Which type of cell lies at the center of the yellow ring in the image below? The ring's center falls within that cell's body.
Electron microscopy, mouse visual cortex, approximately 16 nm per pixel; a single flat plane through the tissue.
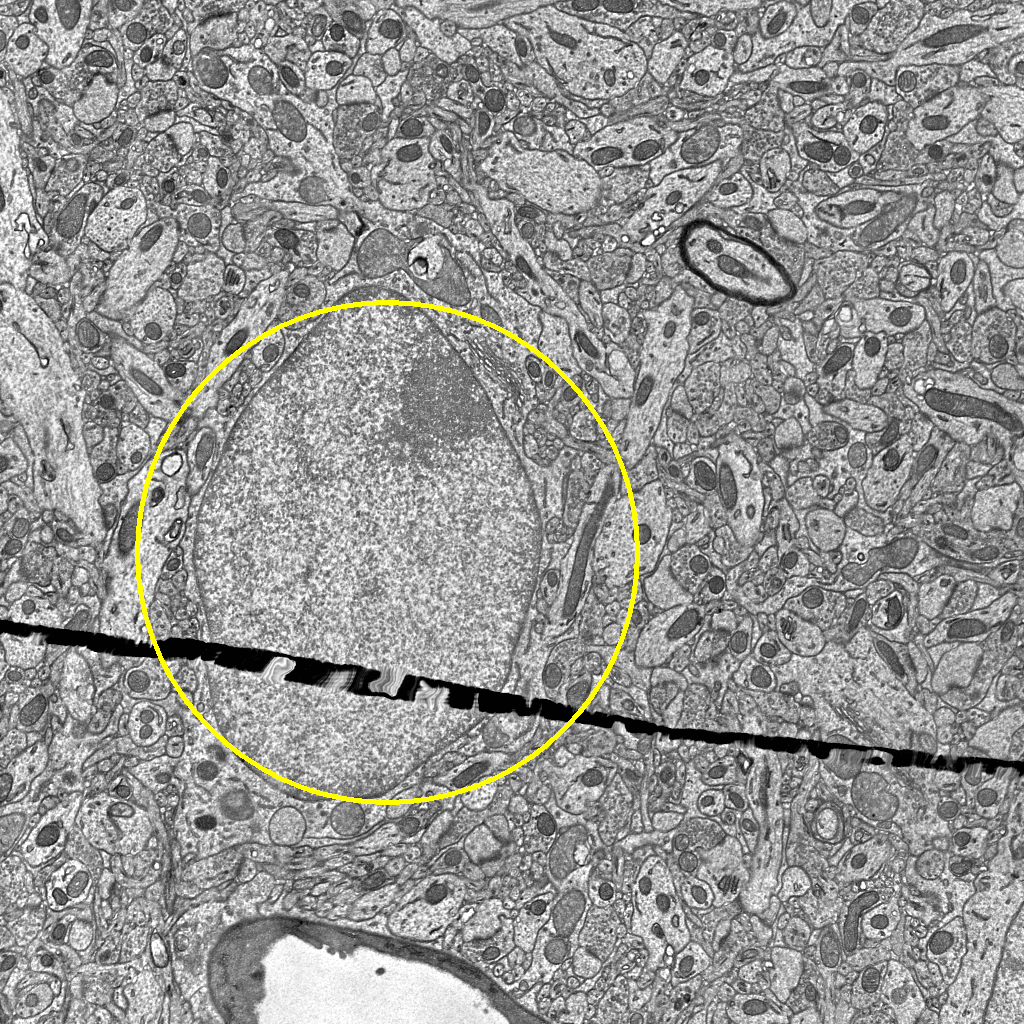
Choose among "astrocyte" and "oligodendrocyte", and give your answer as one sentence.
The cell body at the center belongs to an astrocyte.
